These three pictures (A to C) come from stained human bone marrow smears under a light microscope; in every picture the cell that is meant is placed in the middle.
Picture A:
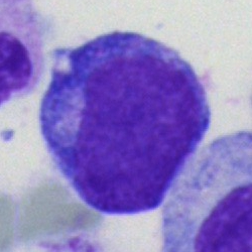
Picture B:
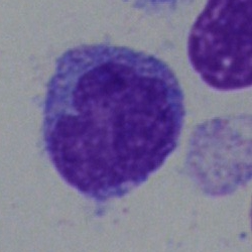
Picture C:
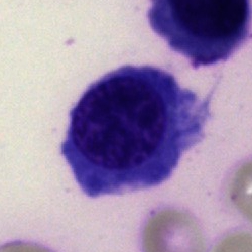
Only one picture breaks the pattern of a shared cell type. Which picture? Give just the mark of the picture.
C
